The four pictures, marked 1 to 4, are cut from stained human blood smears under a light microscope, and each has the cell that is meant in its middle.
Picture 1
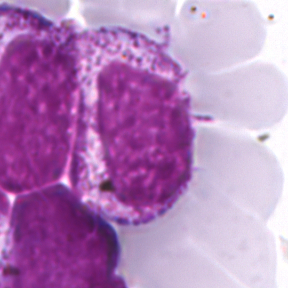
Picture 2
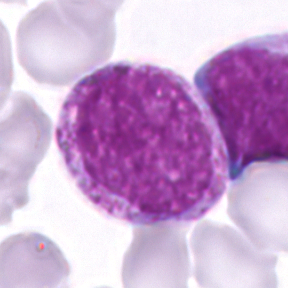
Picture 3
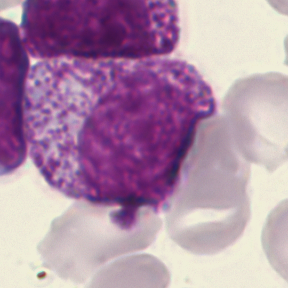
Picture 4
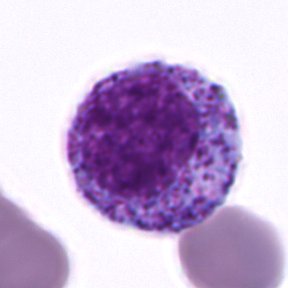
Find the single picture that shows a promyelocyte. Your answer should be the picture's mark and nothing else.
4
